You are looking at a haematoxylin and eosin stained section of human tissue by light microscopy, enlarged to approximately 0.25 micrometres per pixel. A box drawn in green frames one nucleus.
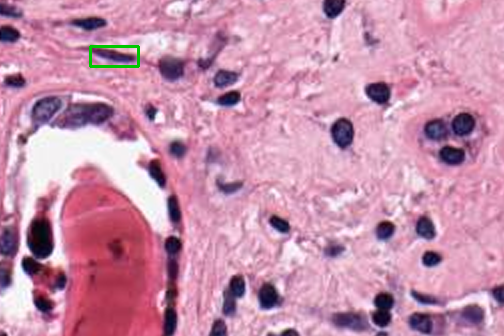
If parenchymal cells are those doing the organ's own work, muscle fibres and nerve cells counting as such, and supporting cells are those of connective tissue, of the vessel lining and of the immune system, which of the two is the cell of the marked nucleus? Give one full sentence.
A supporting cell is the cell whose nucleus is marked.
